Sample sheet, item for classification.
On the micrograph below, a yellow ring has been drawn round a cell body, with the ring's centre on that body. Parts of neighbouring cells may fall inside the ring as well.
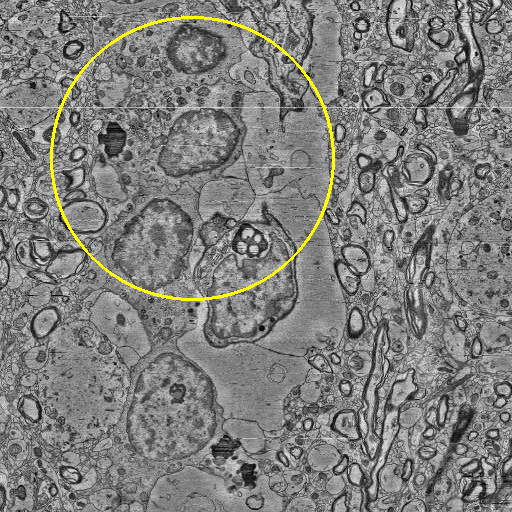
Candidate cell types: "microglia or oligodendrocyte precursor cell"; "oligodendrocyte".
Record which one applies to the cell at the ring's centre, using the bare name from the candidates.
oligodendrocyte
